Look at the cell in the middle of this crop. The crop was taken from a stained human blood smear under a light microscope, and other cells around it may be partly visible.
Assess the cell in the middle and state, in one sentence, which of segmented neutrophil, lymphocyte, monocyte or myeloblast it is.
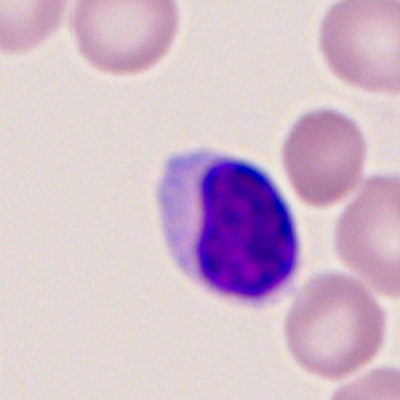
The cell at the middle of the crop is recognized as a lymphocyte.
